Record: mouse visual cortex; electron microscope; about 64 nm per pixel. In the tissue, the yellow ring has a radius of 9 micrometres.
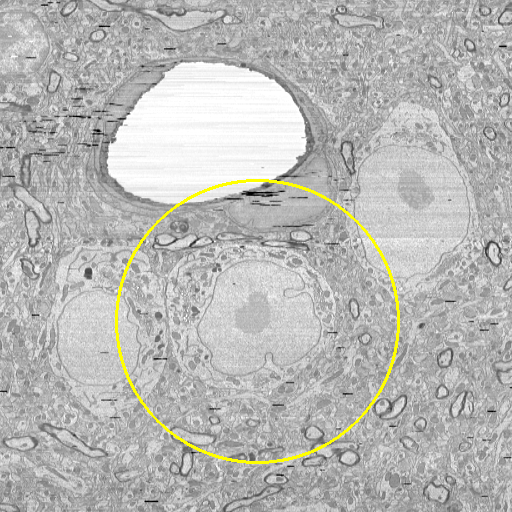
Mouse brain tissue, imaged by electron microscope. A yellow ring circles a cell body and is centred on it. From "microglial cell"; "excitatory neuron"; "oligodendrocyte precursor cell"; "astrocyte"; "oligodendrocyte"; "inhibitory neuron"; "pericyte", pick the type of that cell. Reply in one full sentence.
The cell body at the centre of the yellow ring belongs to an inhibitory neuron.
